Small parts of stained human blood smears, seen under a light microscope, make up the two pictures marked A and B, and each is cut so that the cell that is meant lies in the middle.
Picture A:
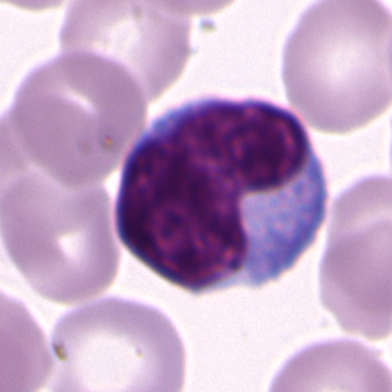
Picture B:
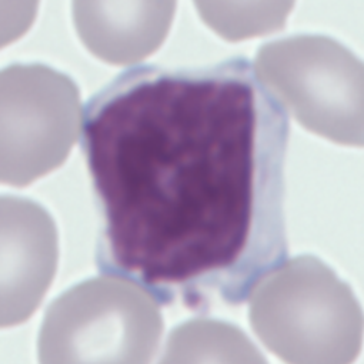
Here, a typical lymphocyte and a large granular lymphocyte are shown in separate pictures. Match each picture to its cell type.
A: typical lymphocyte
B: large granular lymphocyte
